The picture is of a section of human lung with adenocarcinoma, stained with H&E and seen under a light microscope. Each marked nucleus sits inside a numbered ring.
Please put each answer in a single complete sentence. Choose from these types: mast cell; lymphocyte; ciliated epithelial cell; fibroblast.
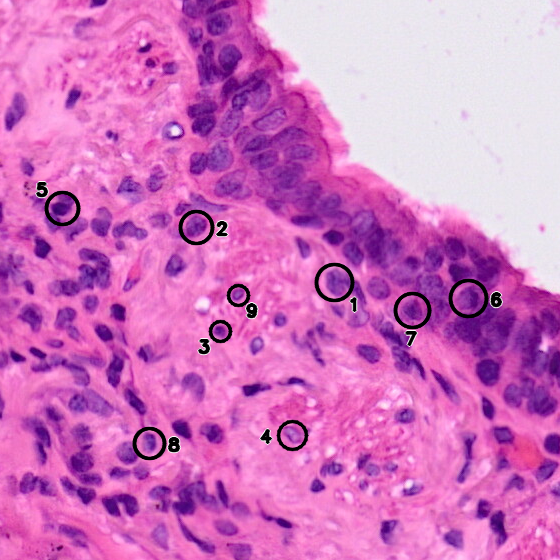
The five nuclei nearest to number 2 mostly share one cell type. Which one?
Around number 2, most of the five nearest nuclei are those of fibroblasts.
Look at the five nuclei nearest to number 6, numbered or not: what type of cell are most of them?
Ciliated epithelial cells make up most of the five nuclei closest to number 6.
